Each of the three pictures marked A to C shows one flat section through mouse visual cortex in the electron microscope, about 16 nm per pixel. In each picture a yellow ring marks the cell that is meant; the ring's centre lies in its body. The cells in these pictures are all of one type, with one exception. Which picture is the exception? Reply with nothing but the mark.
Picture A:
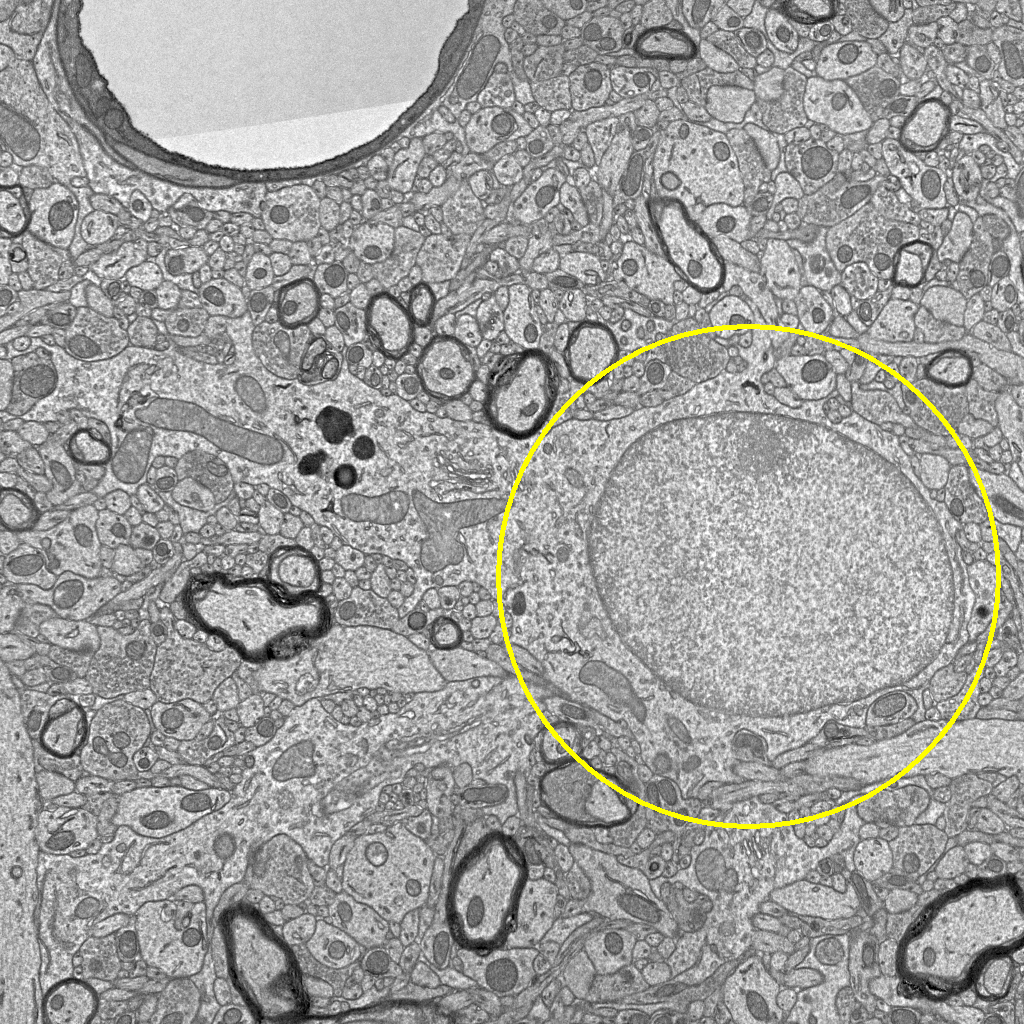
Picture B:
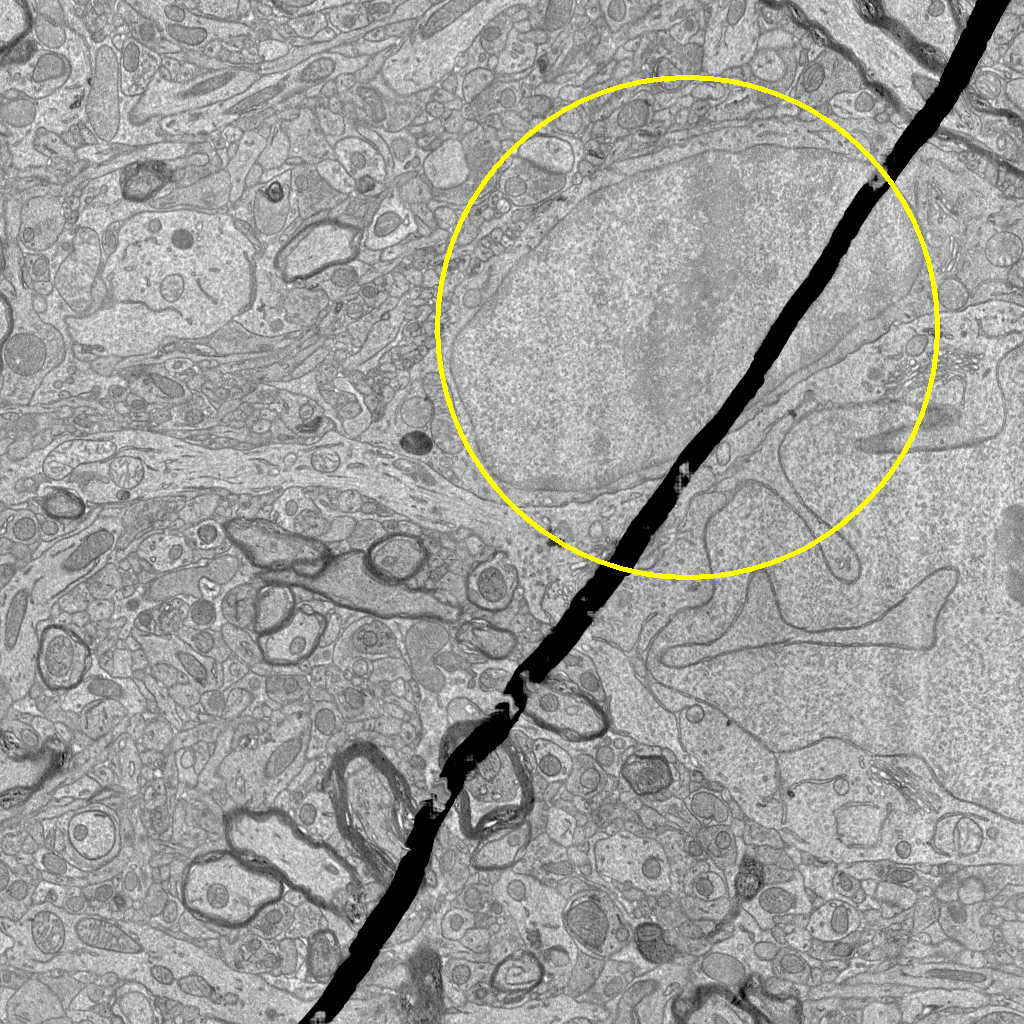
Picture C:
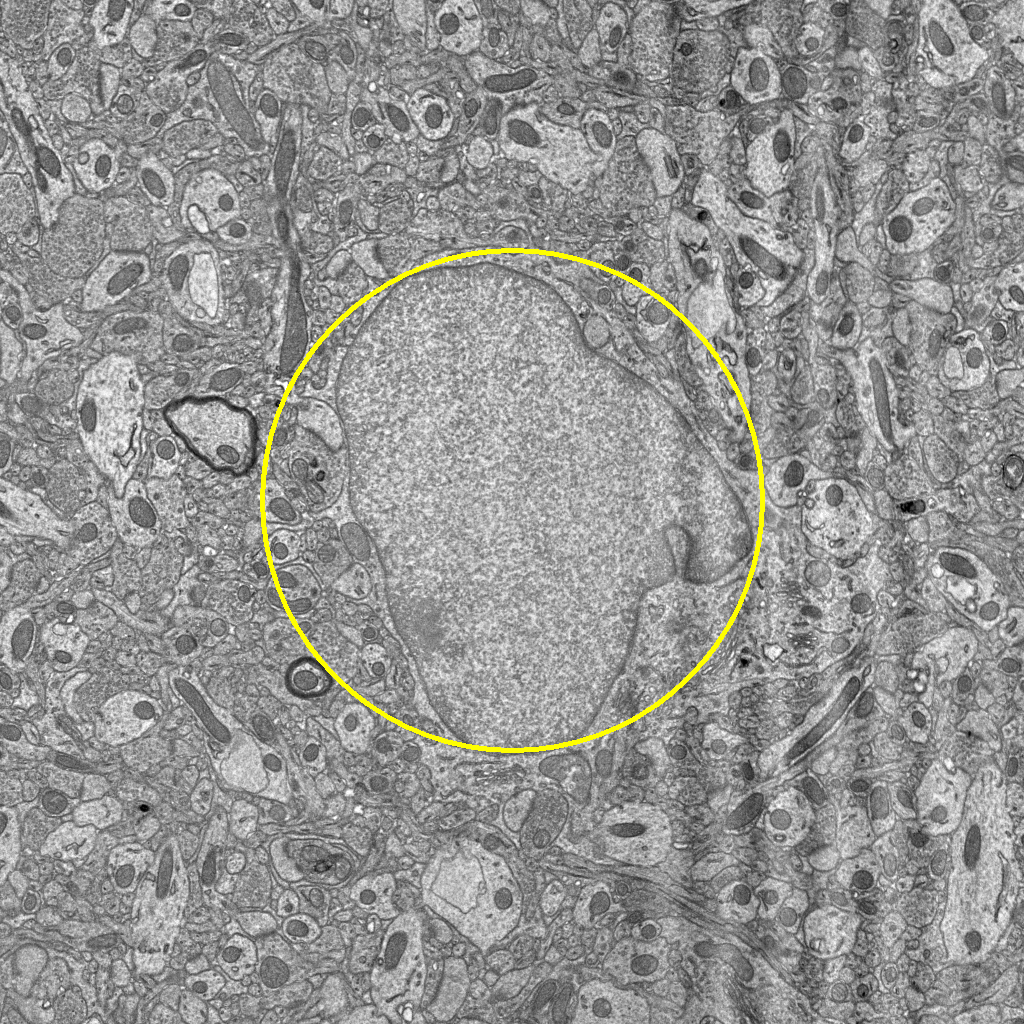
B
